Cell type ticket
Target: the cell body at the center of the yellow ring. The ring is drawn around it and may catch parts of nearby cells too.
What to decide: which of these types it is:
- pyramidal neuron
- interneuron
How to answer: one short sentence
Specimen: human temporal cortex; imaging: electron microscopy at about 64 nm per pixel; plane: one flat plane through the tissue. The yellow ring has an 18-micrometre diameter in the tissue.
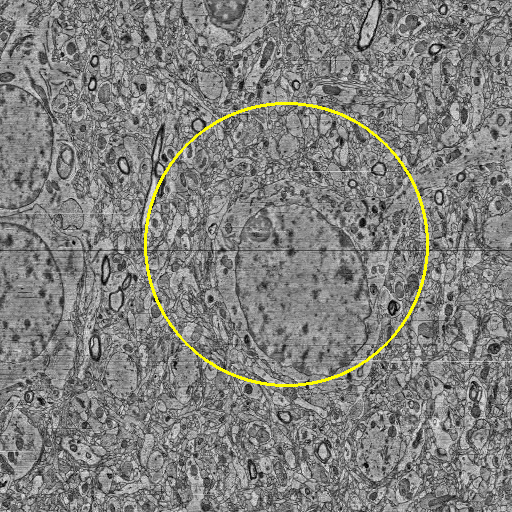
The cell at the center of the ring is an interneuron.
